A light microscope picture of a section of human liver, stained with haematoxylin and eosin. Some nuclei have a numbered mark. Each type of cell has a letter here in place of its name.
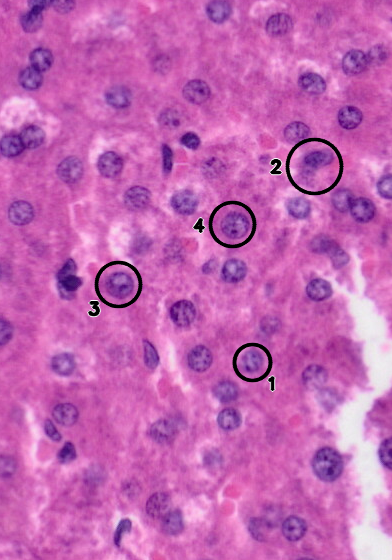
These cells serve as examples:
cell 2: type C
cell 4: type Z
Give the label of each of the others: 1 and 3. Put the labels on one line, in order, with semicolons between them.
type Z; type Z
